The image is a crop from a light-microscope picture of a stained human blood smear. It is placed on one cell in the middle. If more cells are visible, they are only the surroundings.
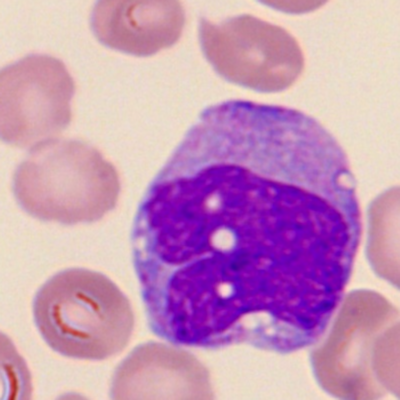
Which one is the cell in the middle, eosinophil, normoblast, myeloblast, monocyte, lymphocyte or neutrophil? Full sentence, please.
In the central position of this crop, the cell is a monocyte.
